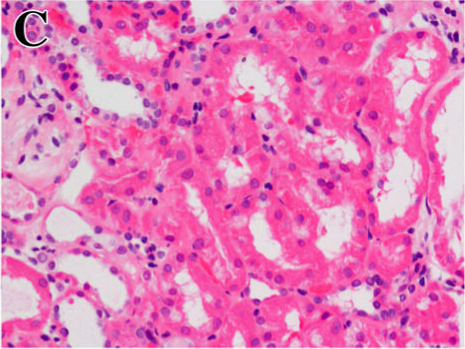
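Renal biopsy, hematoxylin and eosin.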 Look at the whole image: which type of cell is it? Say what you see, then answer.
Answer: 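Tubules lined by cuboidal cells with abundant pink cytoplasm. The answer: proximal tubular epithelial cells.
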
